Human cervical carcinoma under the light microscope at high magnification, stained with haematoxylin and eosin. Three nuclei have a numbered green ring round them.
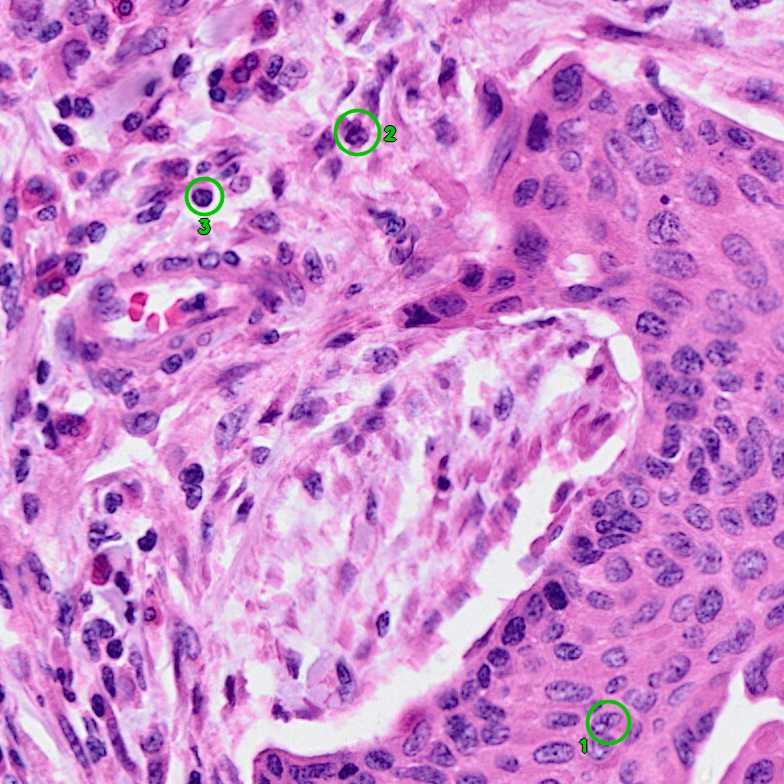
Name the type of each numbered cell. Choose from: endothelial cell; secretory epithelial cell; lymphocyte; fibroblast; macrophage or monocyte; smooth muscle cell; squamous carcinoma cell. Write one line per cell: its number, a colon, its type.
1: squamous carcinoma cell
2: macrophage or monocyte
3: lymphocyte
